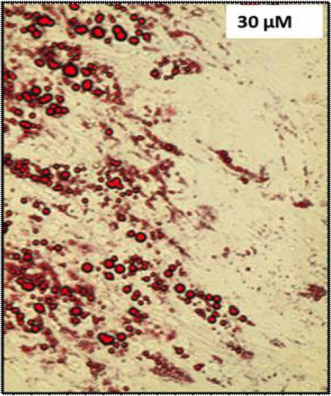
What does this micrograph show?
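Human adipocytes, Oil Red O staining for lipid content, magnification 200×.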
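Groups of round red droplets of varied size sit within cells arranged in streaks and clusters across the field. Many droplets have a dark rim around a brighter red core. Between the droplet-laden cells lie pale, elongated unstained cells and open background.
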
